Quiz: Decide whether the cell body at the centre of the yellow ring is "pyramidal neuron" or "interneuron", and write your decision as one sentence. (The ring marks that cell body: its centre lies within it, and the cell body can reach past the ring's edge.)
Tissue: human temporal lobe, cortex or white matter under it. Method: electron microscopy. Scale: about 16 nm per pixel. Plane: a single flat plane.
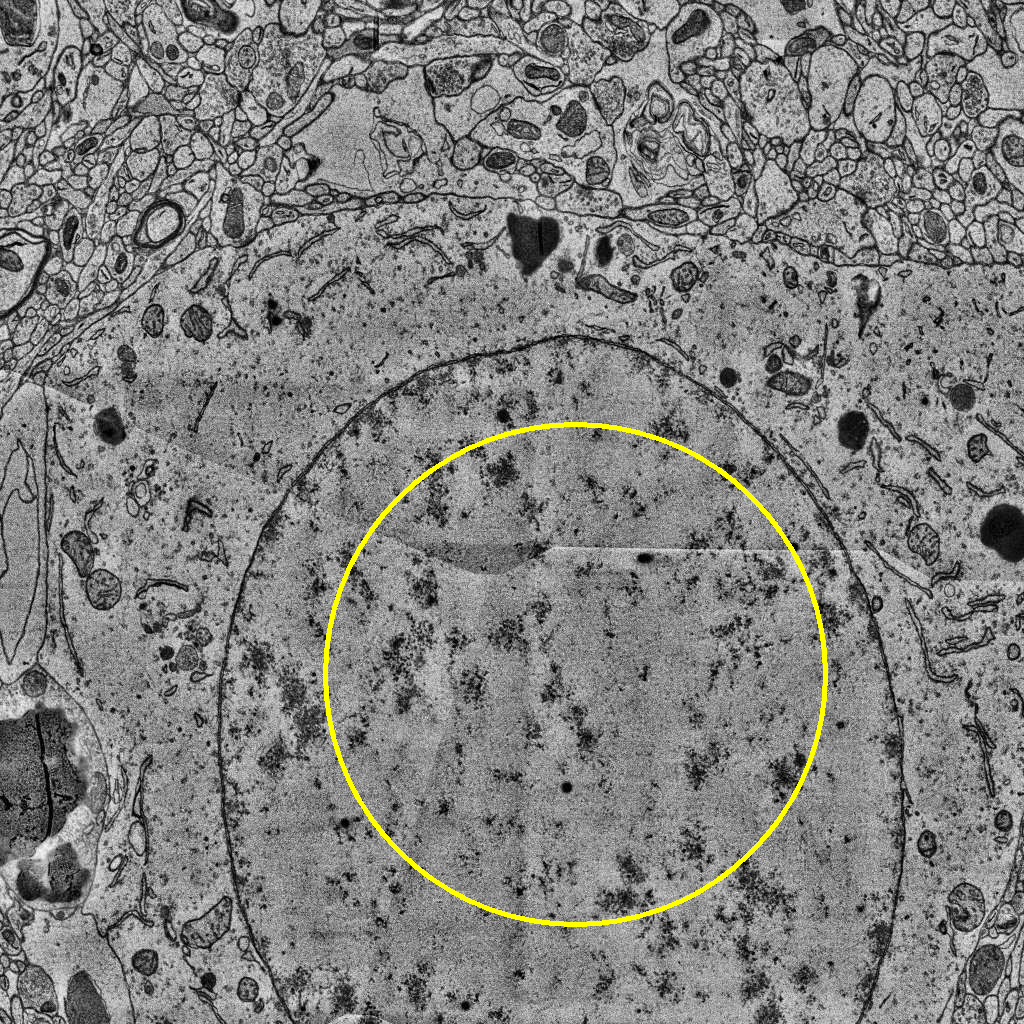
The cell holding the ring's centre is a pyramidal neuron.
